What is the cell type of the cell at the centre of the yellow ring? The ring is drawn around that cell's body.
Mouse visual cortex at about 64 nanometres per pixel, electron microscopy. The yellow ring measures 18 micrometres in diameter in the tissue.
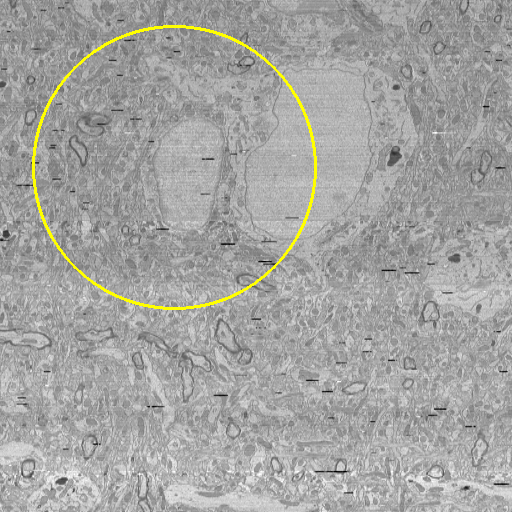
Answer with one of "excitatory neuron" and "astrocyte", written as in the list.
astrocyte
